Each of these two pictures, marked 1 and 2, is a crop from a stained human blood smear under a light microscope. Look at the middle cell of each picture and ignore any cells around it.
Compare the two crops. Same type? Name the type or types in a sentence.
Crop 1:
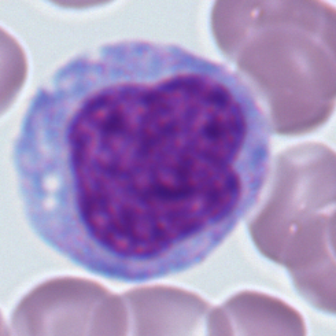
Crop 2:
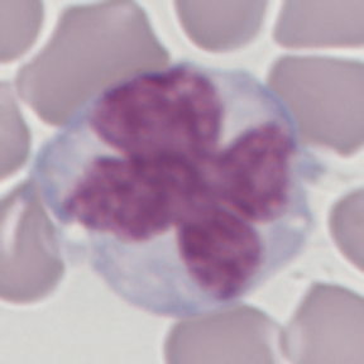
Yes, both crops show monocytes in their central position.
